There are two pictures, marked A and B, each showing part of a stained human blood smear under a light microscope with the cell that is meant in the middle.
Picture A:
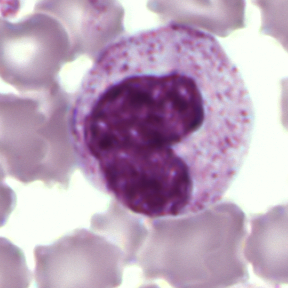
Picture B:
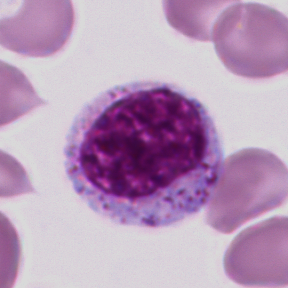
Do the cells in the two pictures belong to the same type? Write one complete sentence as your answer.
Yes; the cells in both pictures are metamyelocytes.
